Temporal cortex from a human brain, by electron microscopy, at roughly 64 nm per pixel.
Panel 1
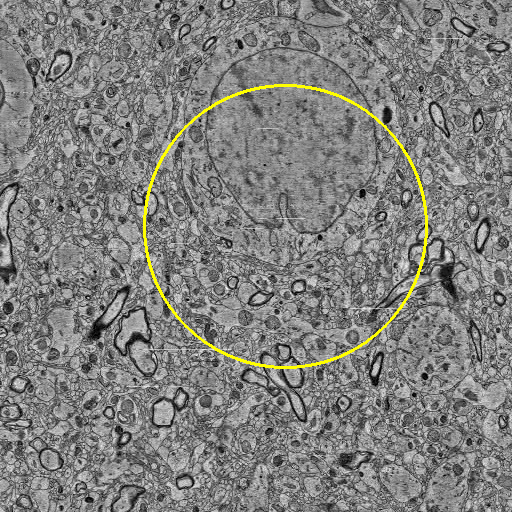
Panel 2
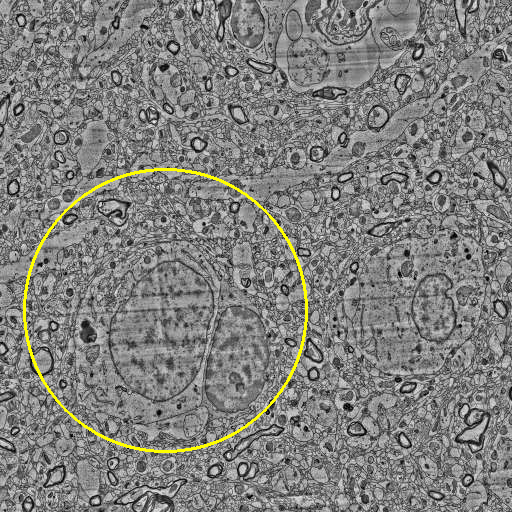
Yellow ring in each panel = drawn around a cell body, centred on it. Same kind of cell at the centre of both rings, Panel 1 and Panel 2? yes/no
yes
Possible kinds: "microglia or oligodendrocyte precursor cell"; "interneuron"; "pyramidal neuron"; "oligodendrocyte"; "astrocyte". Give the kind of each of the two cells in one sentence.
In each of the two pictures, the ringed cell is a pyramidal neuron.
